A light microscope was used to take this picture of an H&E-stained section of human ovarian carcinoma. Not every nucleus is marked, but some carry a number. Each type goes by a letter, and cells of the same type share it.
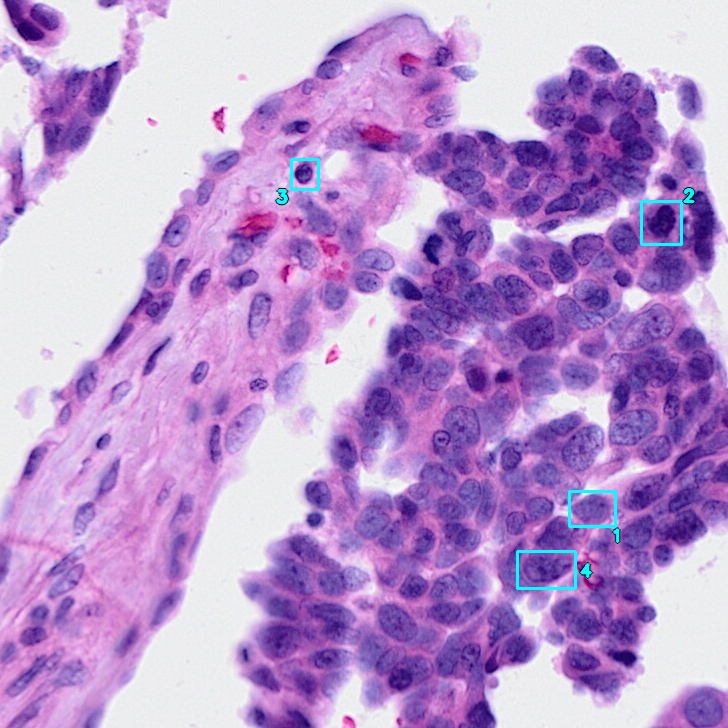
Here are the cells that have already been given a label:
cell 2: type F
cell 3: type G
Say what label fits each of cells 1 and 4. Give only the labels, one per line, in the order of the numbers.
type F
type F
